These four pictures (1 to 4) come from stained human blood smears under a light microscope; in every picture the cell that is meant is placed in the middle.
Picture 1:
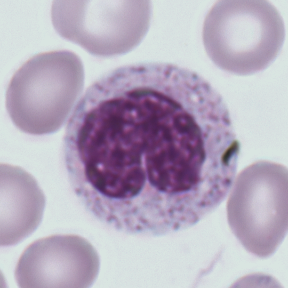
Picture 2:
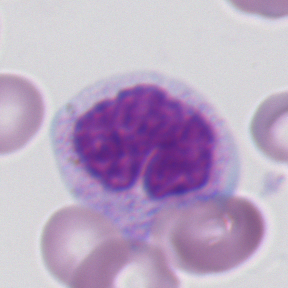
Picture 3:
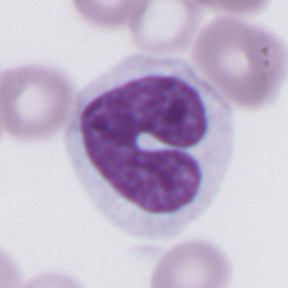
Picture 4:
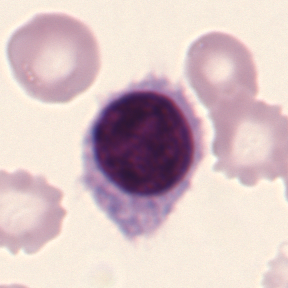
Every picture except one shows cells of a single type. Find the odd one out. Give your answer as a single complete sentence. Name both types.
The others show band neutrophils, but picture 4 shows a hairy cell.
